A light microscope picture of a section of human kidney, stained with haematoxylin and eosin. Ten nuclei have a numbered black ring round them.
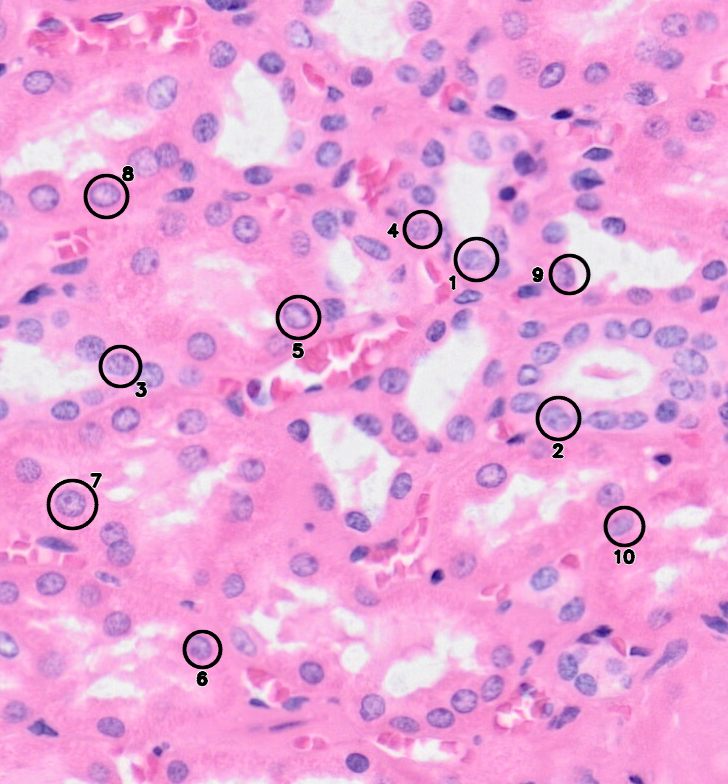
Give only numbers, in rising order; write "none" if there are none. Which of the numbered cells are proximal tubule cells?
5, 6, 7, 8, 10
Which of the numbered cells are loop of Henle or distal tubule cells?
9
